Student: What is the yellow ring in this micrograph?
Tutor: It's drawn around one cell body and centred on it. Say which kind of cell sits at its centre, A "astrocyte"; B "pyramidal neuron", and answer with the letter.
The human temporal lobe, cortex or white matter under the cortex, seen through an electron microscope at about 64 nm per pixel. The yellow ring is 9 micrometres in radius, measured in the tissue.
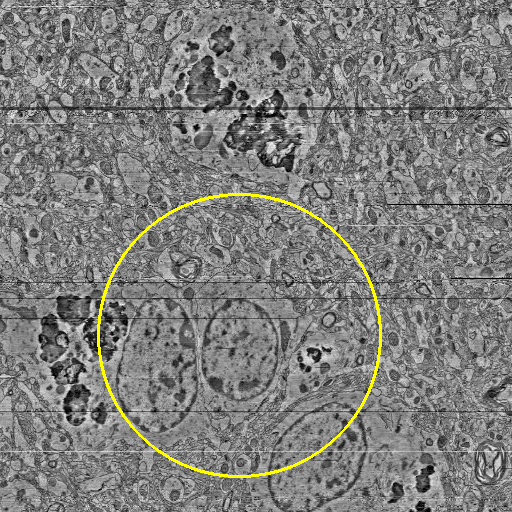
A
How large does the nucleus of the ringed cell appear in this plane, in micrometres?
In this plane, roughly 7 by 5 micrometres.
